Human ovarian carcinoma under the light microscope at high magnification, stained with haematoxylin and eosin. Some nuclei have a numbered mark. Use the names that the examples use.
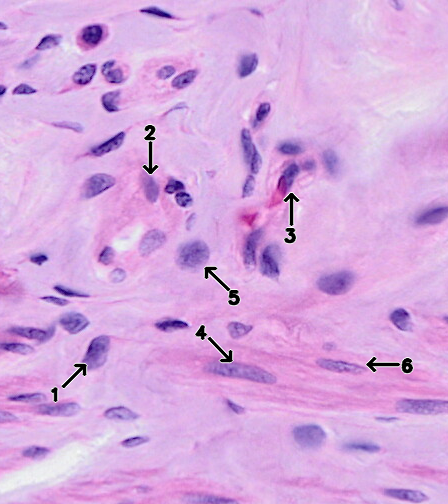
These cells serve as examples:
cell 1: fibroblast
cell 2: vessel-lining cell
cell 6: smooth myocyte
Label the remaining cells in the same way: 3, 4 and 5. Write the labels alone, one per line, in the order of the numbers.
vessel-lining cell
smooth myocyte
fibroblast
